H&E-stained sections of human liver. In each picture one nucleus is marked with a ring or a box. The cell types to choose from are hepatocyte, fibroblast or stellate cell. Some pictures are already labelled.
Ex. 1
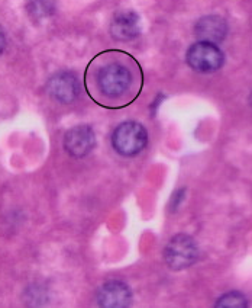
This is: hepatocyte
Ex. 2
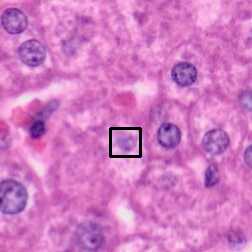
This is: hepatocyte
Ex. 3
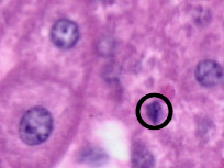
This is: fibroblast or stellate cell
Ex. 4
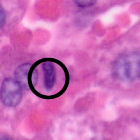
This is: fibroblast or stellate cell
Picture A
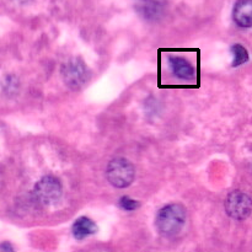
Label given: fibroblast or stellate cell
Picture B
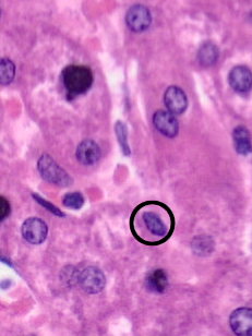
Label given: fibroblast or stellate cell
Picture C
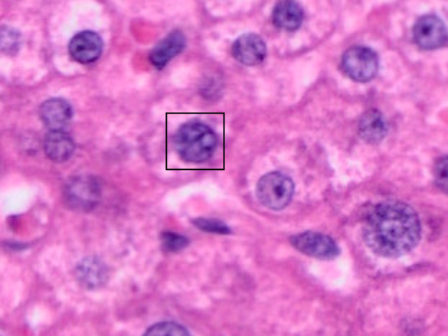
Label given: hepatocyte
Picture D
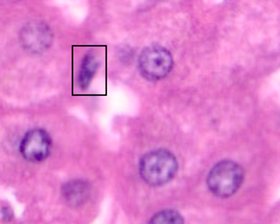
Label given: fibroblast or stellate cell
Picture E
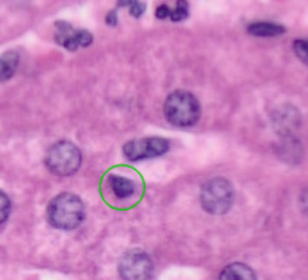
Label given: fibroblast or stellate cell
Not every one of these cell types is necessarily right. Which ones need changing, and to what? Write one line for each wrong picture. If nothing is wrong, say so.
Nothing to fix; every label fits.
